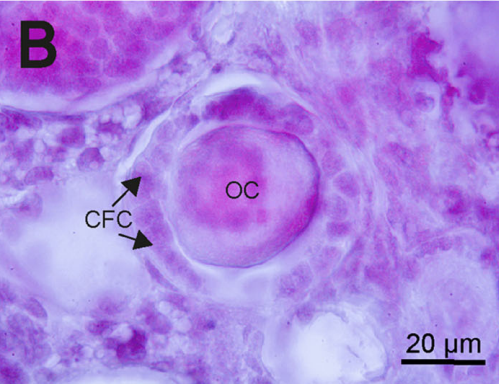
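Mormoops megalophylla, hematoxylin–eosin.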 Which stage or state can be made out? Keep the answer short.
Primary follicle.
